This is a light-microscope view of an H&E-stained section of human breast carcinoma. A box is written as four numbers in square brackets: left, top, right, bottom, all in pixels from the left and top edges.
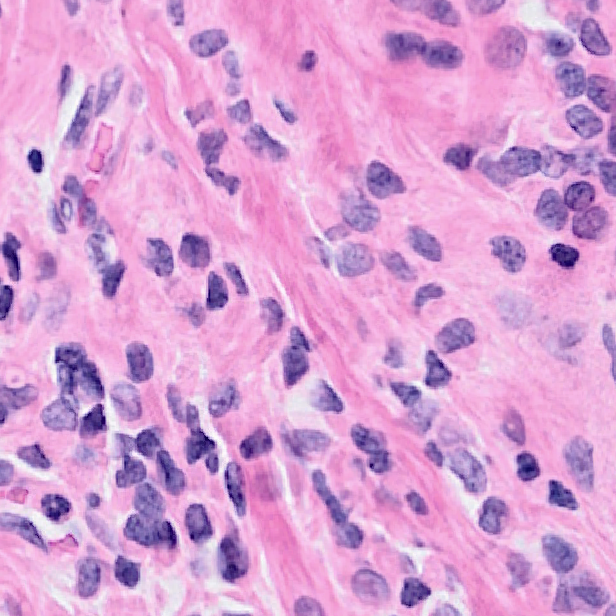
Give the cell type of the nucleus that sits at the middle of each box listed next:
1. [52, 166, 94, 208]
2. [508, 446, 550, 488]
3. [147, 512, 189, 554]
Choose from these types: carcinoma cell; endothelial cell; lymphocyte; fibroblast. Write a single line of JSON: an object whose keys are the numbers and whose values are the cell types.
{"1": "endothelial cell", "2": "lymphocyte", "3": "carcinoma cell"}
